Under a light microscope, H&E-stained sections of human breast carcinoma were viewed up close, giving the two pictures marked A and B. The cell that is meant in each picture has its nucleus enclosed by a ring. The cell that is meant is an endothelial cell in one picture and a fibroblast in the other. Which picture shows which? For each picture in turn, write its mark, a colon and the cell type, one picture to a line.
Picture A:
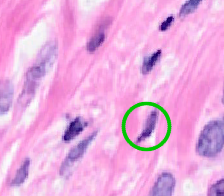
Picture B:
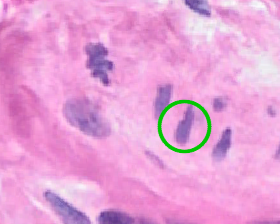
A: fibroblast
B: endothelial cell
